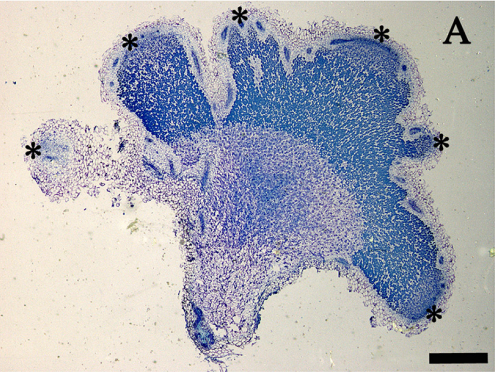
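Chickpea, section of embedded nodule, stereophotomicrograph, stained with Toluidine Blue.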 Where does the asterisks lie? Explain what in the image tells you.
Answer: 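Meristematic zones. The asterisks sit at the outer tips of the lobes of the organ.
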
